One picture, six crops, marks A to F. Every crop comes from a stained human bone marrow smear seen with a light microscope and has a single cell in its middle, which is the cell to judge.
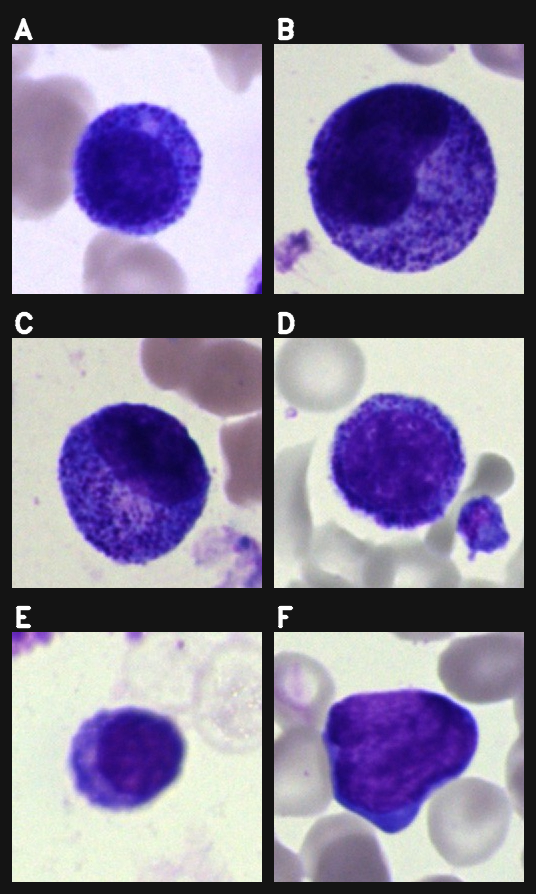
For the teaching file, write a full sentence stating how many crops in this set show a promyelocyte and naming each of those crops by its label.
In crops A, B, C and D, that is four crops, the cells are promyelocytes.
